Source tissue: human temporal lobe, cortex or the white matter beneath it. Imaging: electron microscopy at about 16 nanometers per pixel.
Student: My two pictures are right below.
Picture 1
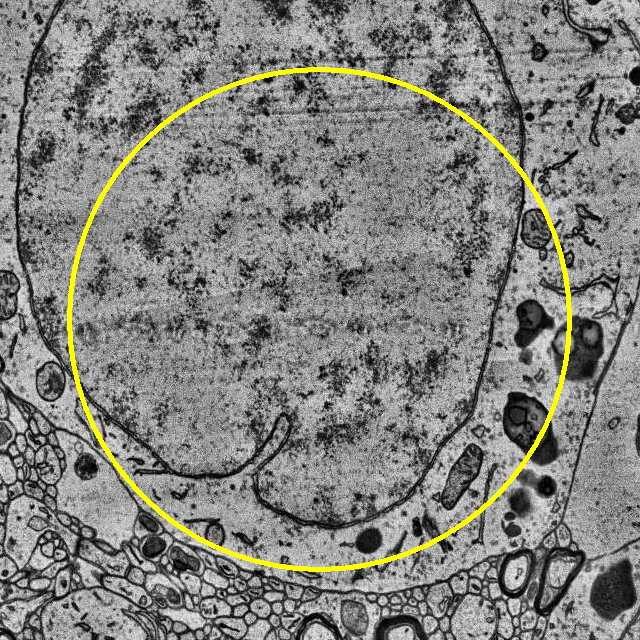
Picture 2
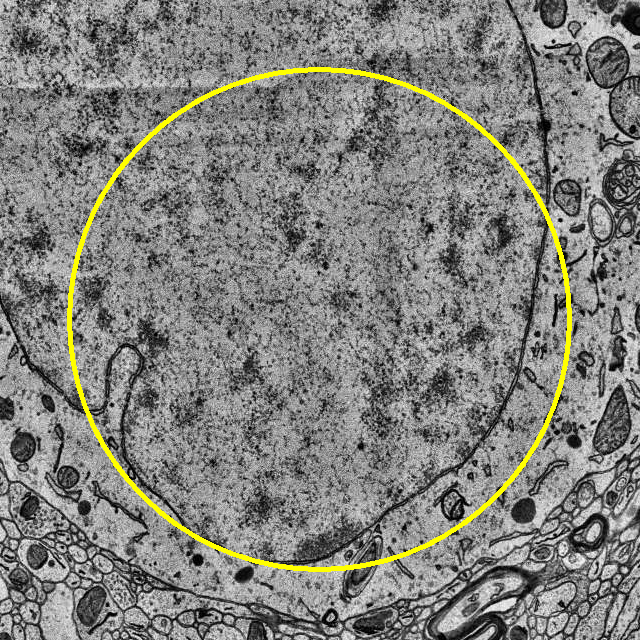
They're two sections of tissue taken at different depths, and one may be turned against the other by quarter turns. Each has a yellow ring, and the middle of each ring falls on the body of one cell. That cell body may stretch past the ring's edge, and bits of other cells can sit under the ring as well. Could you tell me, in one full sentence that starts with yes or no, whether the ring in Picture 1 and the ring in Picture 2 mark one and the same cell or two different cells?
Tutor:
Yes, the cell marked in each ring is one and the same.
